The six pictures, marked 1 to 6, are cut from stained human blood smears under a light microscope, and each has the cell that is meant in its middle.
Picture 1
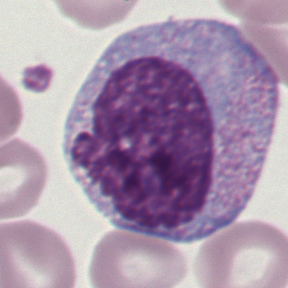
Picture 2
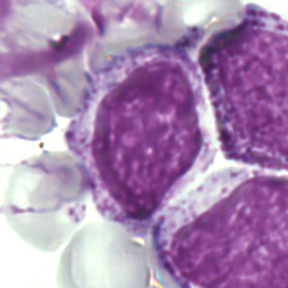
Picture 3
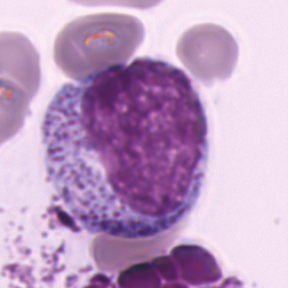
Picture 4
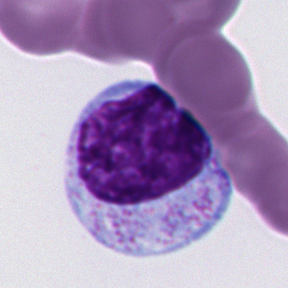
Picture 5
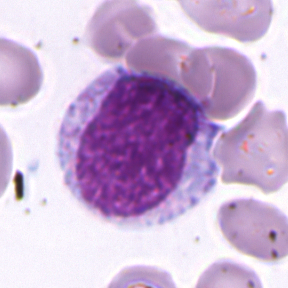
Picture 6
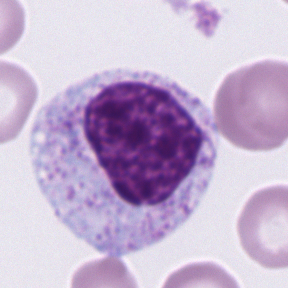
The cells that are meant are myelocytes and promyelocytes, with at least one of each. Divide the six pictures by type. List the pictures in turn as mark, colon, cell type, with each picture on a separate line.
1: promyelocyte
2: myelocyte
3: promyelocyte
4: myelocyte
5: myelocyte
6: myelocyte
